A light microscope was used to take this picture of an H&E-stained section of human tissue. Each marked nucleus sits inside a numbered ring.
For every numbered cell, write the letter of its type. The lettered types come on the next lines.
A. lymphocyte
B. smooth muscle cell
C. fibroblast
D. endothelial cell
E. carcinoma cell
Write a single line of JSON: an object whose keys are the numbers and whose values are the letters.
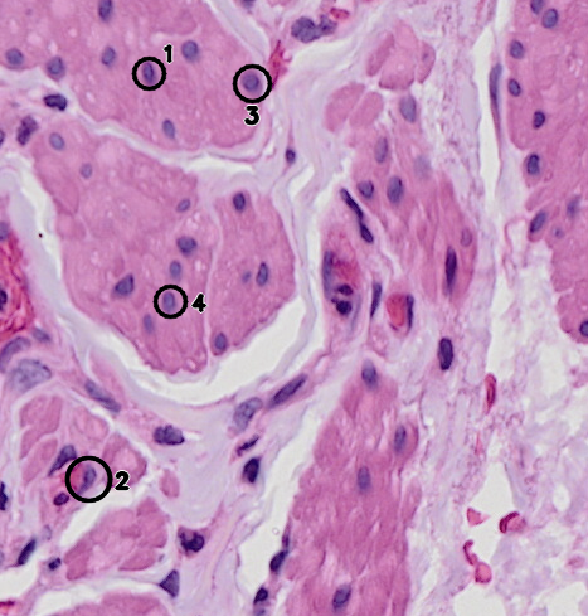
{"1": "B", "2": "D", "3": "B", "4": "B"}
